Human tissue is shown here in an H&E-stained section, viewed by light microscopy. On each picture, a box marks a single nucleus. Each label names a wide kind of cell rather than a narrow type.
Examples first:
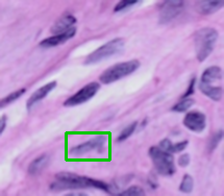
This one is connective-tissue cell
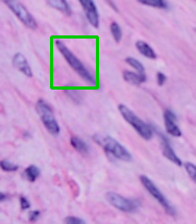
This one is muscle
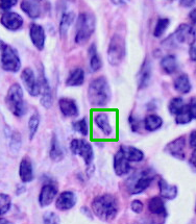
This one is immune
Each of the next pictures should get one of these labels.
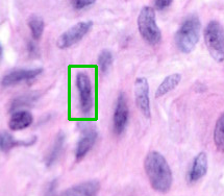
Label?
connective-tissue cell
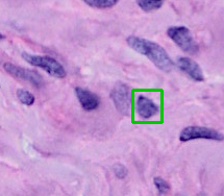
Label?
connective-tissue cell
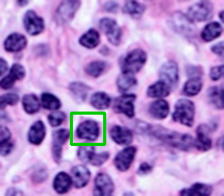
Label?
immune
